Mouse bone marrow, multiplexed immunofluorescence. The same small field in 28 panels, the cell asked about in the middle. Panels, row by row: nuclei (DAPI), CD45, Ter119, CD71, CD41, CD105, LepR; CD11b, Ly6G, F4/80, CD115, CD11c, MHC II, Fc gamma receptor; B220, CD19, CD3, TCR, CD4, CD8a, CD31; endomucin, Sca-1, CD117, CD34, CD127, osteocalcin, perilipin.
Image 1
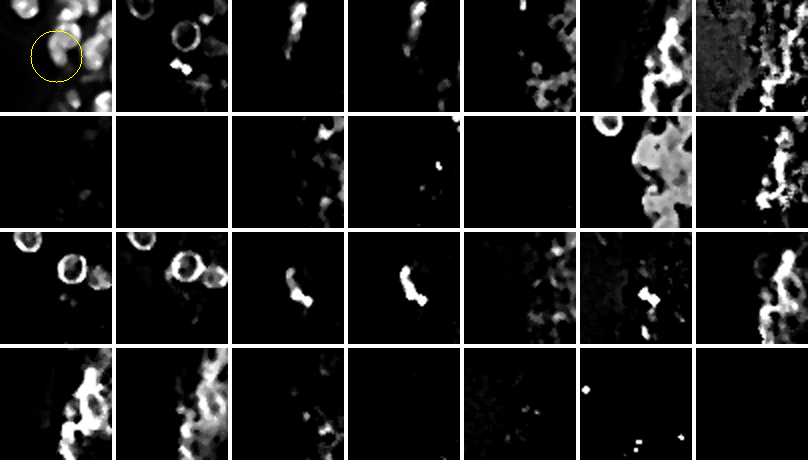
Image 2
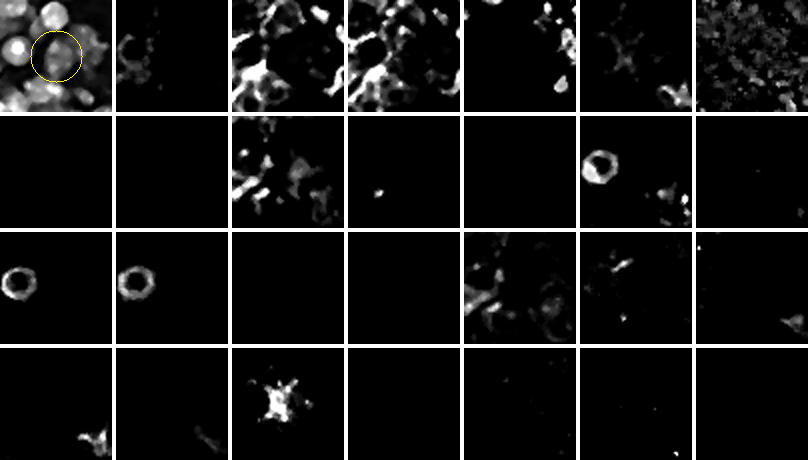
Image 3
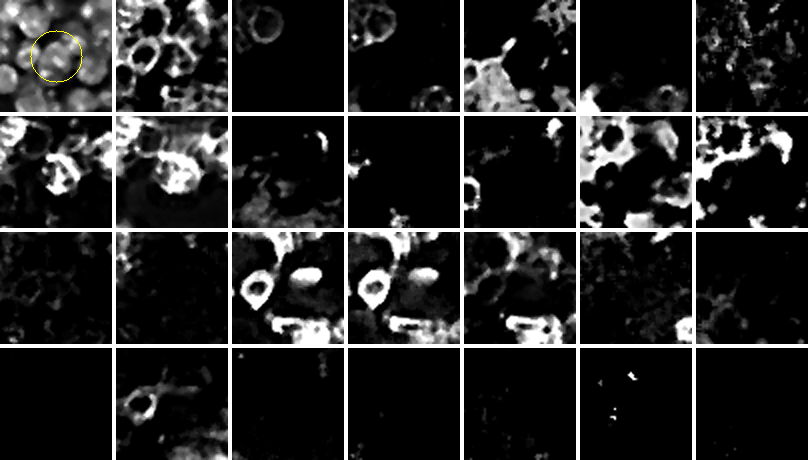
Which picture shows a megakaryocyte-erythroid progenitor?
Picture 2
